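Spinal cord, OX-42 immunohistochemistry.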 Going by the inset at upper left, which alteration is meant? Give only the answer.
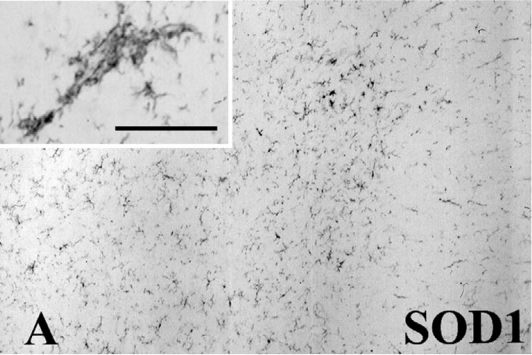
Early microglial fusion.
